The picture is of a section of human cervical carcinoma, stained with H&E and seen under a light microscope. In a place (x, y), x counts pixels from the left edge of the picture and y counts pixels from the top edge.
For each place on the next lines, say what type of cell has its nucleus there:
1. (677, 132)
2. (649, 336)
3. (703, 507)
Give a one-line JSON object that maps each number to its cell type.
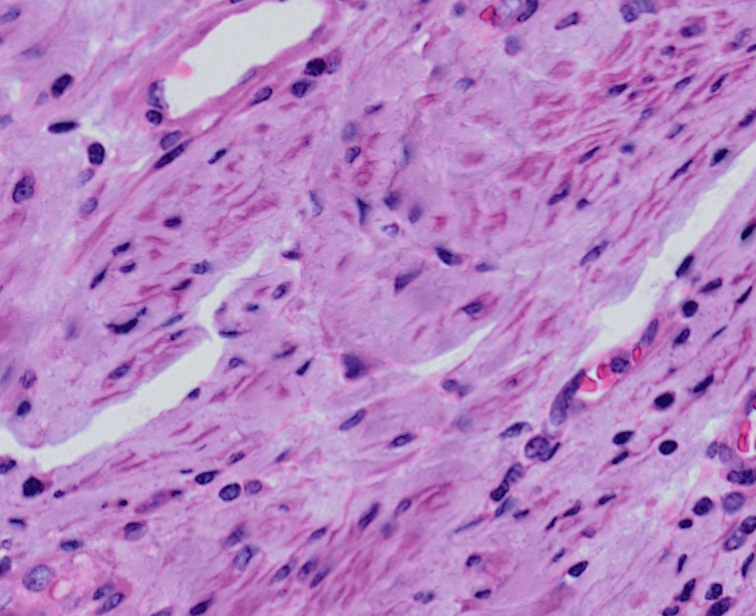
{"1": "smooth muscle cell", "2": "endothelial cell", "3": "lymphocyte"}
